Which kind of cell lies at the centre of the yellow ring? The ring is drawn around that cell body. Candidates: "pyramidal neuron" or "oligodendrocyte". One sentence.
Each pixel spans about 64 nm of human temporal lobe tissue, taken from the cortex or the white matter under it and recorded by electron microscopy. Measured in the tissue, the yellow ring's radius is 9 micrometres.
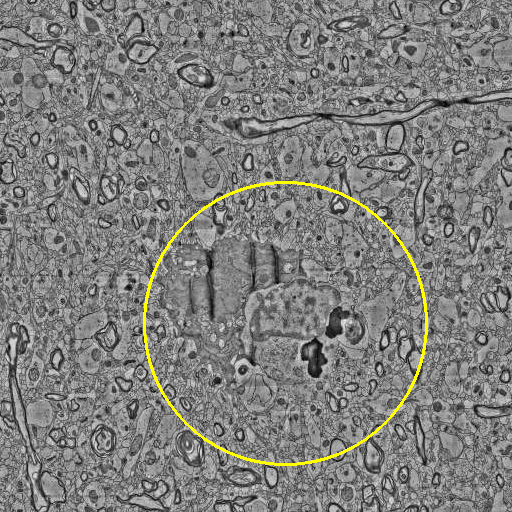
Lying at the centre of the ring is an oligodendrocyte.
